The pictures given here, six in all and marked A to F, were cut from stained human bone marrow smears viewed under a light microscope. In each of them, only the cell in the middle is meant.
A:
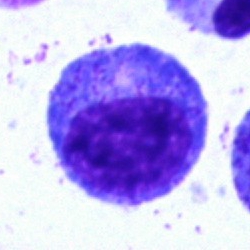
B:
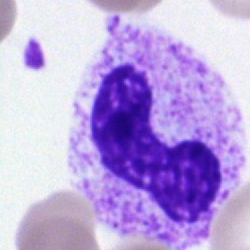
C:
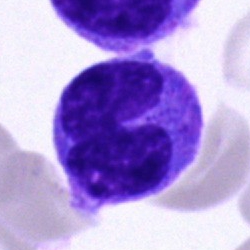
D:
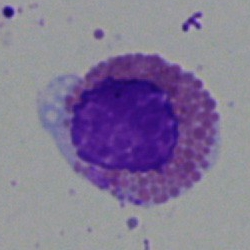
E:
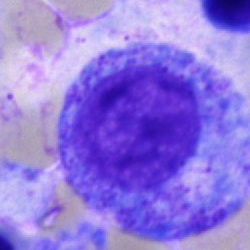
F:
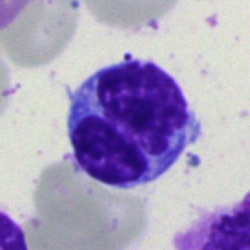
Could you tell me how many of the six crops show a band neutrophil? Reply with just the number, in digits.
1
